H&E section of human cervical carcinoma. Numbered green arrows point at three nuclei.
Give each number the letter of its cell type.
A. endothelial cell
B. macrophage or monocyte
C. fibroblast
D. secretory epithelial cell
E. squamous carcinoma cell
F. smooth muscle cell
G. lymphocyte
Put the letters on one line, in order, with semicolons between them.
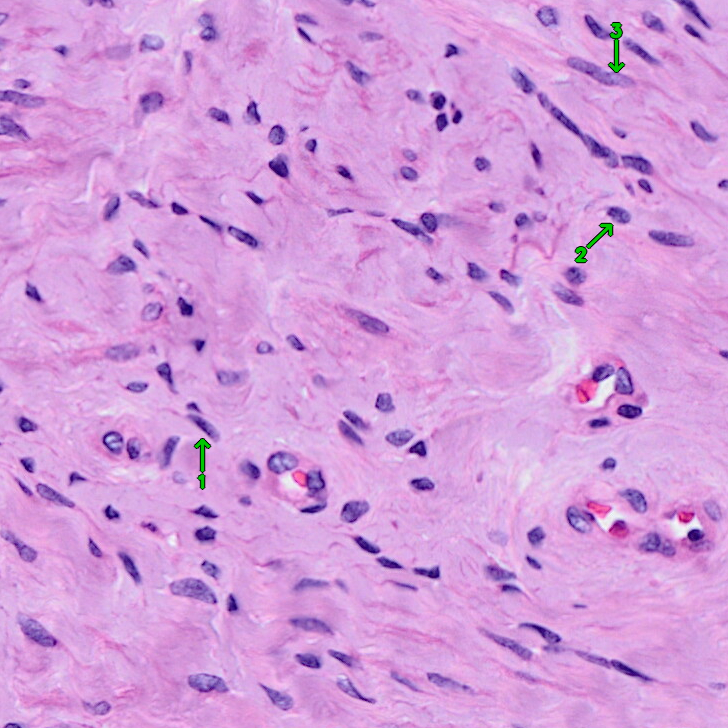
C; C; F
